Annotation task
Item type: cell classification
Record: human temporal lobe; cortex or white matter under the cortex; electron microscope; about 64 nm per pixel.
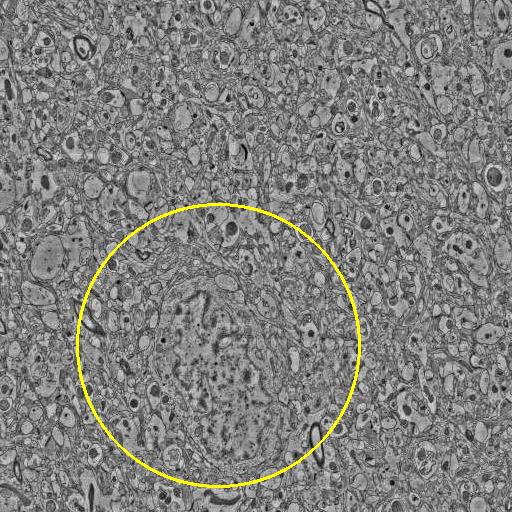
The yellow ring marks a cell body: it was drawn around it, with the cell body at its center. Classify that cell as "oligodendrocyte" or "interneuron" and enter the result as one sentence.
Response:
The ring's center falls on an interneuron.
